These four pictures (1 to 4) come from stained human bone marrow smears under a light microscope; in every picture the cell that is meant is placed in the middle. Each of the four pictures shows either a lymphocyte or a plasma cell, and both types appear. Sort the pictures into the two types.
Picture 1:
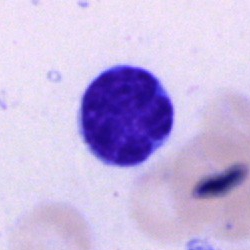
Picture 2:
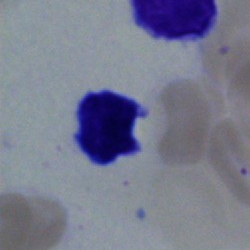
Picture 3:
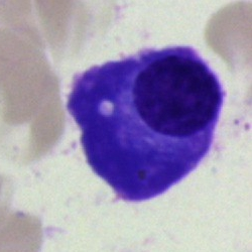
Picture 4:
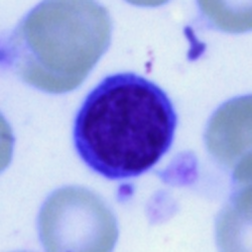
1: lymphocyte
2: lymphocyte
3: plasma cell
4: lymphocyte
